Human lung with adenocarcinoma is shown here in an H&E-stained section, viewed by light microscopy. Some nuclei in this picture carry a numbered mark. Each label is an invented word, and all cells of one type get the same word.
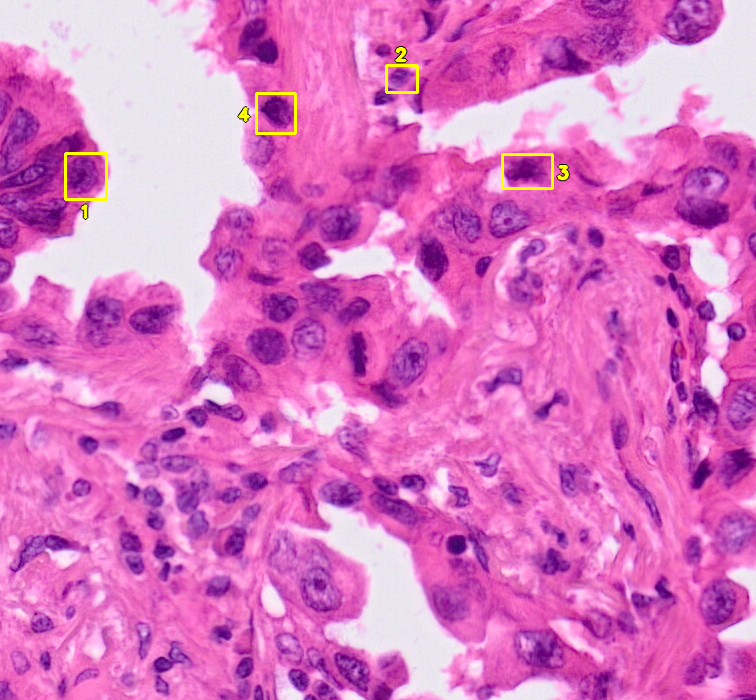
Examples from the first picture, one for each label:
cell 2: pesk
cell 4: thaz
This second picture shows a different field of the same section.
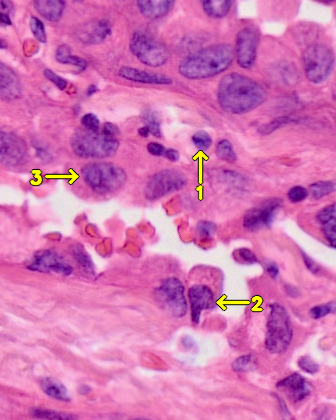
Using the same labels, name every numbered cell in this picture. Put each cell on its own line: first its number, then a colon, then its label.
1: pesk
2: thaz
3: thaz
